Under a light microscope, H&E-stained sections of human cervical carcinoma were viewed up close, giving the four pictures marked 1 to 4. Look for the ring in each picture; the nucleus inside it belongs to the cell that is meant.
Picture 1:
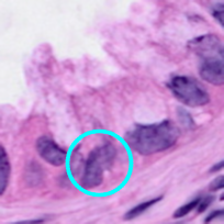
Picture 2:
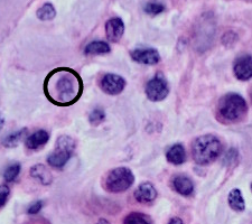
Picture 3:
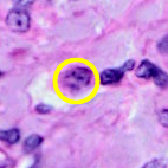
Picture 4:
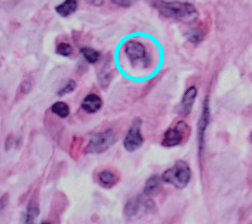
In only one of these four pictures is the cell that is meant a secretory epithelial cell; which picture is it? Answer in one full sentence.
The picture with the secretory epithelial cell is 1.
